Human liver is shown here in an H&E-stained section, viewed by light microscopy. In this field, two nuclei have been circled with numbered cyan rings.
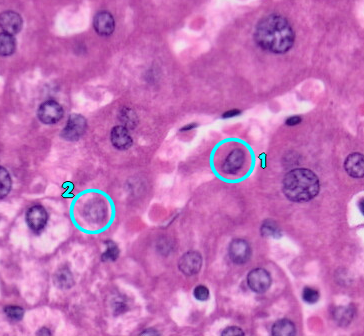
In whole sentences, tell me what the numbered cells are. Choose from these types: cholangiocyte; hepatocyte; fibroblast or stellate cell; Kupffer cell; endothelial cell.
Cell 1 is a Kupffer cell. Cell 2 is a hepatocyte.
